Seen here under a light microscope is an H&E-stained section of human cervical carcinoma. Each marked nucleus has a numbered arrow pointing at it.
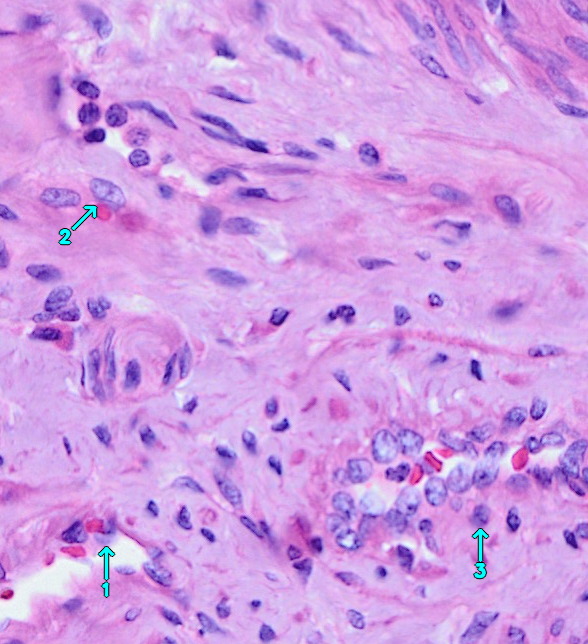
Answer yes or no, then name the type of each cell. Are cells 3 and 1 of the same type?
No, cell 3 is a smooth muscle cell and cell 1 is an endothelial cell.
